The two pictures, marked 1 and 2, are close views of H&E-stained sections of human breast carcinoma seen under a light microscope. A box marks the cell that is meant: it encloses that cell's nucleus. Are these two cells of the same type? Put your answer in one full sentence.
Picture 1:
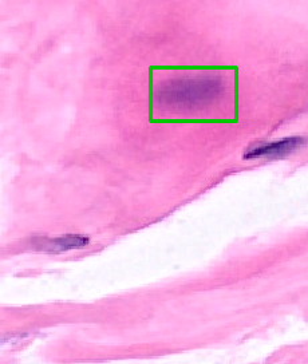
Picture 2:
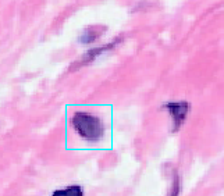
No, they differ: the cell is a fibroblast in picture 1 and a lymphocyte in picture 2.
